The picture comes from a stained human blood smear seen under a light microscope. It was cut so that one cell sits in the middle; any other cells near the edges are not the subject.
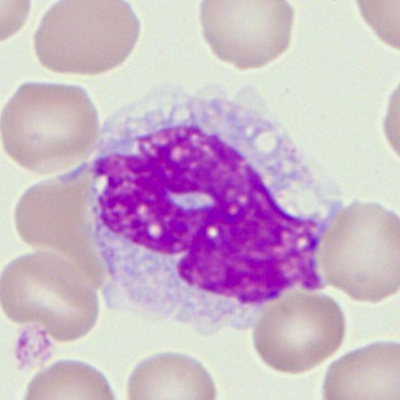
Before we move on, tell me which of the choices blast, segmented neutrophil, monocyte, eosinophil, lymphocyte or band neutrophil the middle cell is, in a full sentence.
This crop's central cell is a monocyte.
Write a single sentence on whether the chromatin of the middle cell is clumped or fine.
The chromatin is fine throughout, without coarse clumps.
